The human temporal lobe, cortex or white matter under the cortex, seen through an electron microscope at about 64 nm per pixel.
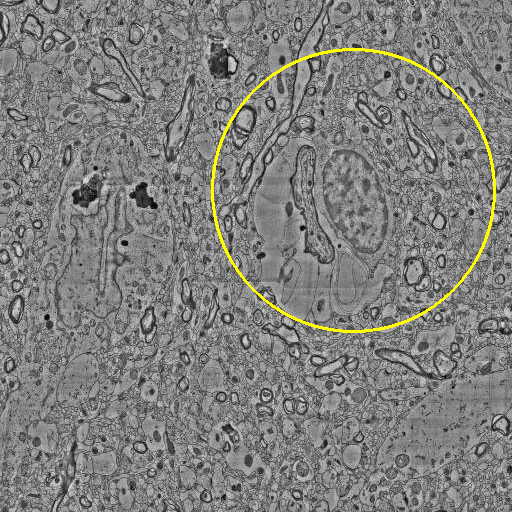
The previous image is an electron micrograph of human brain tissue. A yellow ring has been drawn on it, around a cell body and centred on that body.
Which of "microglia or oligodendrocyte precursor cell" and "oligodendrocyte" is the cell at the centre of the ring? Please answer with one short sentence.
The cell body at the centre of the ring belongs to an oligodendrocyte.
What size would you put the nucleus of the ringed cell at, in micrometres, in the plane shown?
Roughly 7 by 4 micrometers, clearly longer than it is wide in this plane.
